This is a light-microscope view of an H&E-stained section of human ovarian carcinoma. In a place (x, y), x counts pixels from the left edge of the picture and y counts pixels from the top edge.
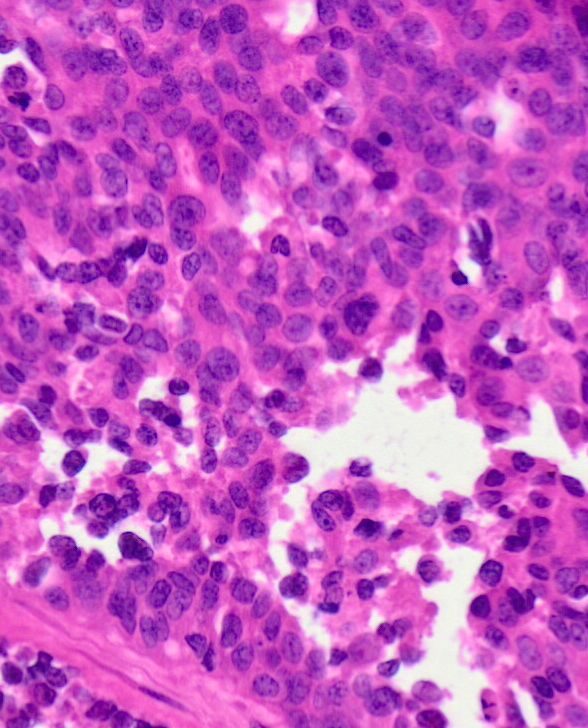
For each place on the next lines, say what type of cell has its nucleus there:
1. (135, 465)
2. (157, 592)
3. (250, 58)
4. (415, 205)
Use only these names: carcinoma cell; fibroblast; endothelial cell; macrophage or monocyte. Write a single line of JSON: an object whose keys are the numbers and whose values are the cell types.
{"1": "macrophage or monocyte", "2": "carcinoma cell", "3": "carcinoma cell", "4": "carcinoma cell"}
